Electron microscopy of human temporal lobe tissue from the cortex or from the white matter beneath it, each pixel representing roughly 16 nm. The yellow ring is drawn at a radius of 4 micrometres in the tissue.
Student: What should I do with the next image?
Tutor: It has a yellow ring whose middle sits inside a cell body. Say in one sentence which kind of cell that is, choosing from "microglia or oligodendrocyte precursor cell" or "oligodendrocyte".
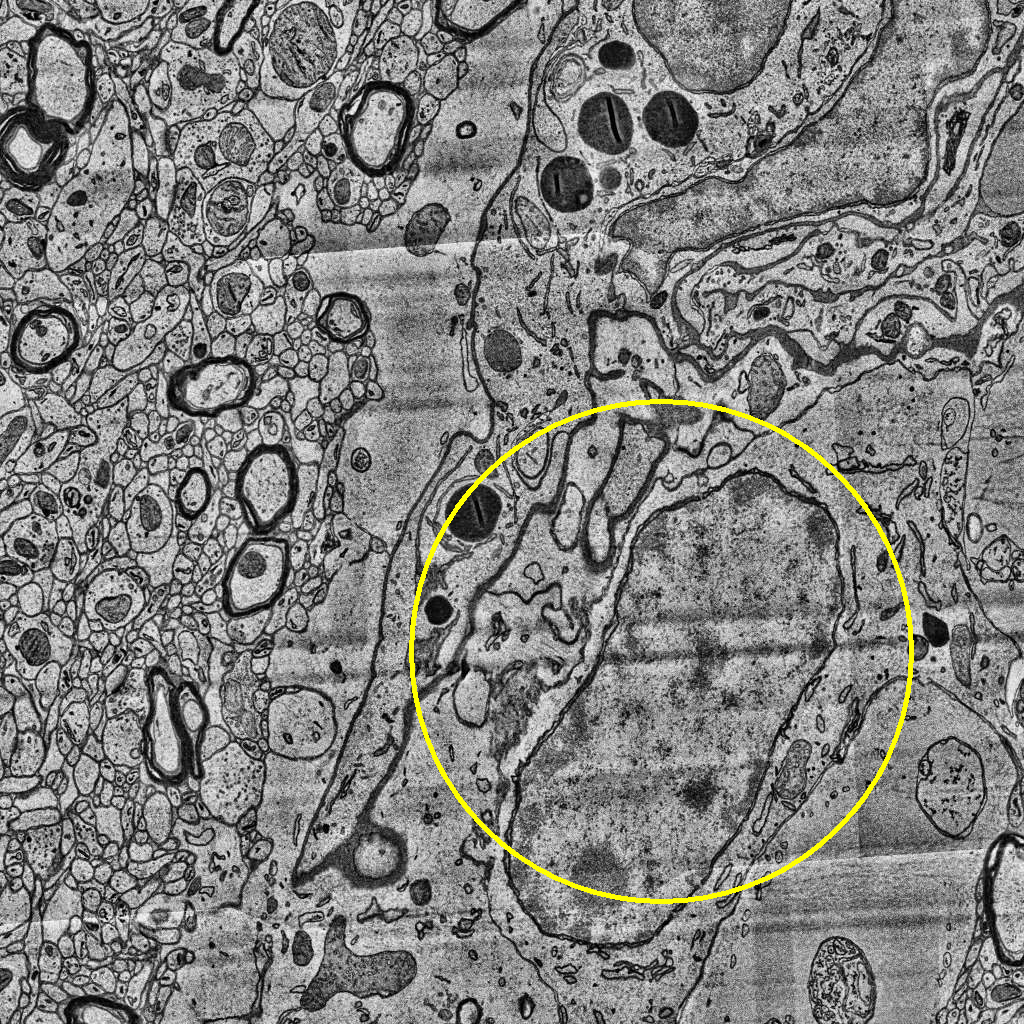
The ring's centre is occupied by a microglial cell or oligodendrocyte precursor cell.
